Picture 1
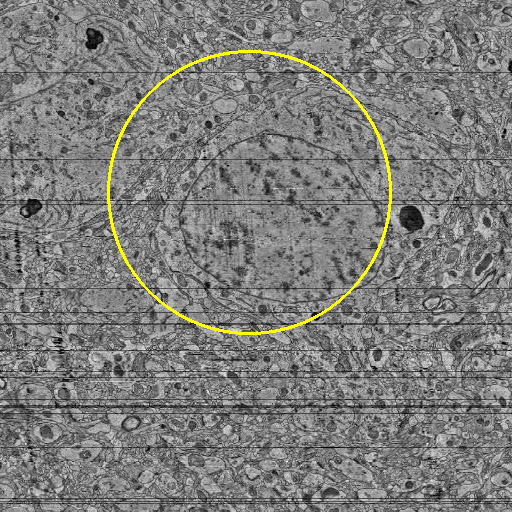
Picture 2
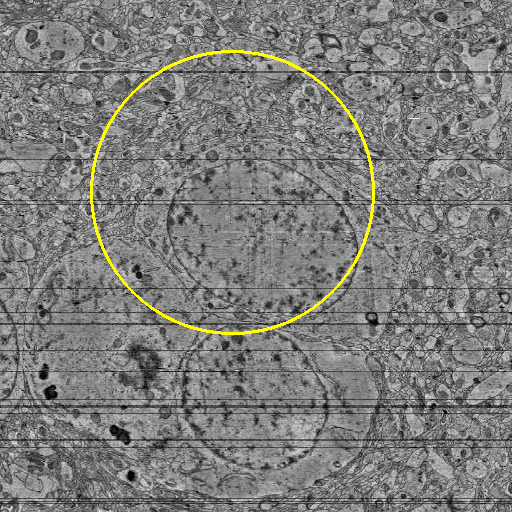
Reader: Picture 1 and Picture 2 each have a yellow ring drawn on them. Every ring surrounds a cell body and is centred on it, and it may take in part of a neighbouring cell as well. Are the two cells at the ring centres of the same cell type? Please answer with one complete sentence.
Yes, both cells are of the same cell type.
